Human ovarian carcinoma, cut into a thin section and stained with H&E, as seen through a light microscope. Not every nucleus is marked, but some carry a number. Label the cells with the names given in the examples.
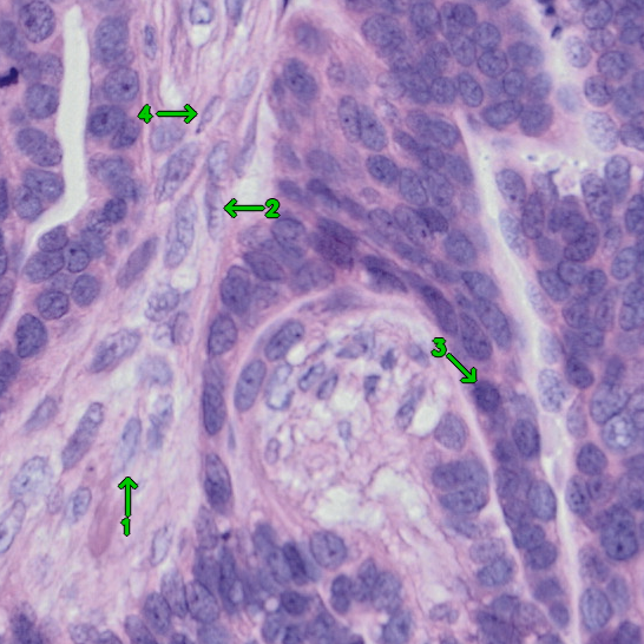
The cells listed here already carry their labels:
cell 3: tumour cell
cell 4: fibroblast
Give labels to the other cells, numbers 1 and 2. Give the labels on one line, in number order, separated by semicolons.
fibroblast; fibroblast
